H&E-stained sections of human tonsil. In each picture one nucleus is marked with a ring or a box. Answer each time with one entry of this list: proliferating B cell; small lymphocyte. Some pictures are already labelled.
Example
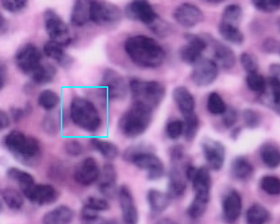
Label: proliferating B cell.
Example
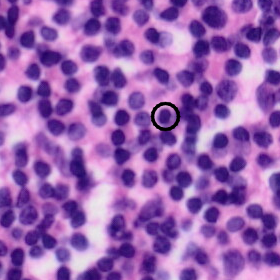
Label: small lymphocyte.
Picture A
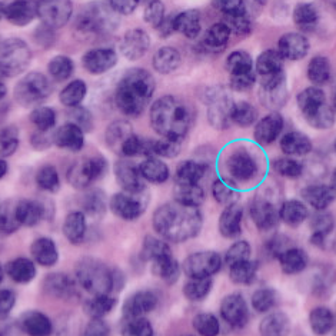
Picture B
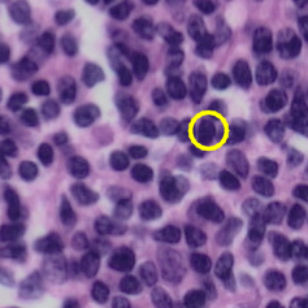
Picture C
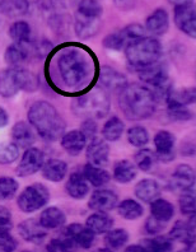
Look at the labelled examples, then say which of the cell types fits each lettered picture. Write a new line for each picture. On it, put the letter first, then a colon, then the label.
A: proliferating B cell.
B: small lymphocyte.
C: proliferating B cell.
